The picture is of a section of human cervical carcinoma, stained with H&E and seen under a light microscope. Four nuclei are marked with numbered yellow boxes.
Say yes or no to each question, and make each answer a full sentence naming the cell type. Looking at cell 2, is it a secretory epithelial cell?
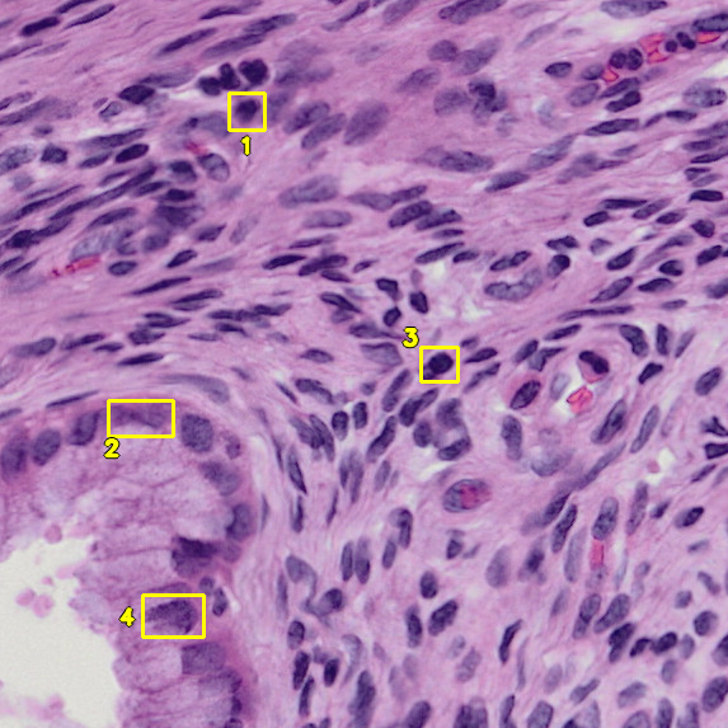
Yes, looking at number 2, that cell is a secretory epithelial cell.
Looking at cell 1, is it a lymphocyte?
Yes, cell number 1 is identified here as a lymphocyte.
